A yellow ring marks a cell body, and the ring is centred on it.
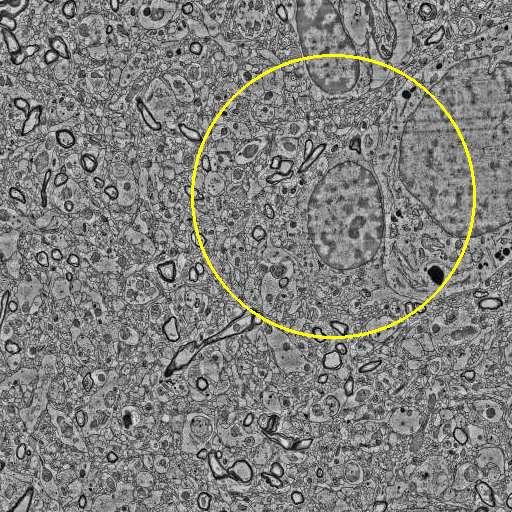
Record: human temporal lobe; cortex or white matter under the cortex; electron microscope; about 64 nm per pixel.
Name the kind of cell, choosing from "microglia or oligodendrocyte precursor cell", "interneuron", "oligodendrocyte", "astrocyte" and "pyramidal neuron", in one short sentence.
The marked cell body belongs to an oligodendrocyte.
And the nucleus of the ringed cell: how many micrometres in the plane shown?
In this plane, the nucleus of the cell at the centre of the ring measures about 7 by 5 micrometres.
